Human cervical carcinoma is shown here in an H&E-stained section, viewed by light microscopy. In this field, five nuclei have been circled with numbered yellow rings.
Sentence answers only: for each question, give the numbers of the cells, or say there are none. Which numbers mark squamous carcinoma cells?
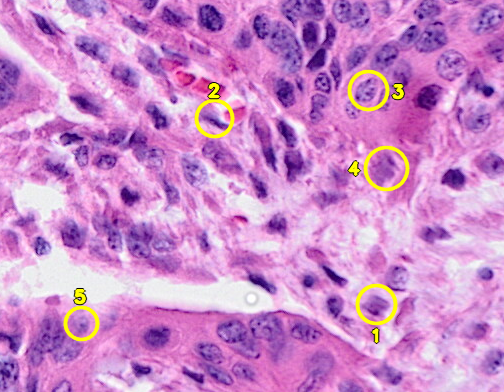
The cells with numbers 3 and 5 are squamous carcinoma cells by type.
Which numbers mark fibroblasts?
Cells 1 and 4 are of one type, namely fibroblasts.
